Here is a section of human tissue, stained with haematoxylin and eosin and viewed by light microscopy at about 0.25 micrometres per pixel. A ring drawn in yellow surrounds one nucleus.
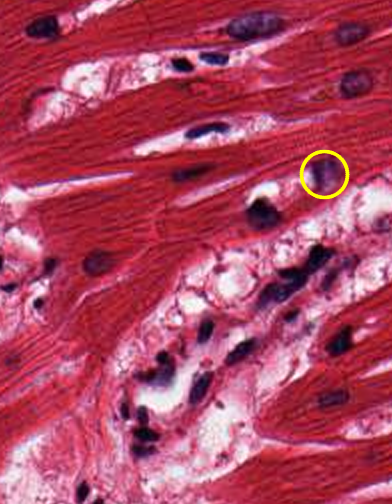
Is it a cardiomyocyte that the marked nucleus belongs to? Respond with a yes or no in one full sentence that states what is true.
Yes, the marked nucleus is housed in a cardiomyocyte.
